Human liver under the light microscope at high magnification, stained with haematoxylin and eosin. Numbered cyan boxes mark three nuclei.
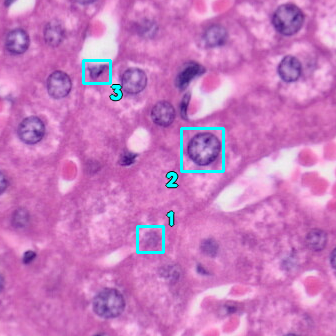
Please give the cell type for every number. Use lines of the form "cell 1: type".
cell 1: hepatocyte
cell 2: hepatocyte
cell 3: endothelial cell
